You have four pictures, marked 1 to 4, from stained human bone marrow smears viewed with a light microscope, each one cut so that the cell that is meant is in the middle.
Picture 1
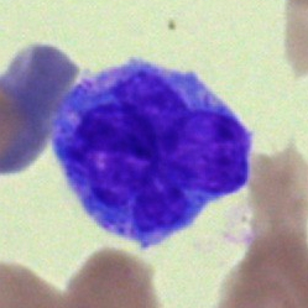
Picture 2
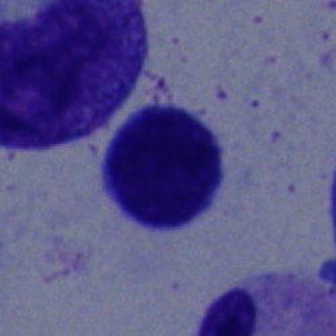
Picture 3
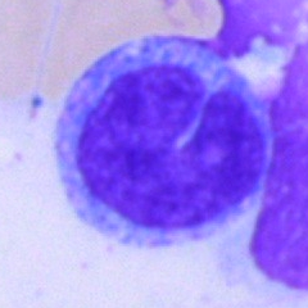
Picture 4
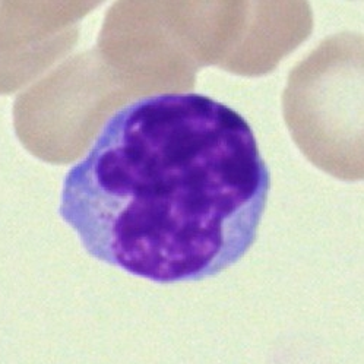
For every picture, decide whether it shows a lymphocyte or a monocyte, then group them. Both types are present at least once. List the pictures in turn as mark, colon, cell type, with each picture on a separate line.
1: monocyte
2: lymphocyte
3: monocyte
4: lymphocyte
